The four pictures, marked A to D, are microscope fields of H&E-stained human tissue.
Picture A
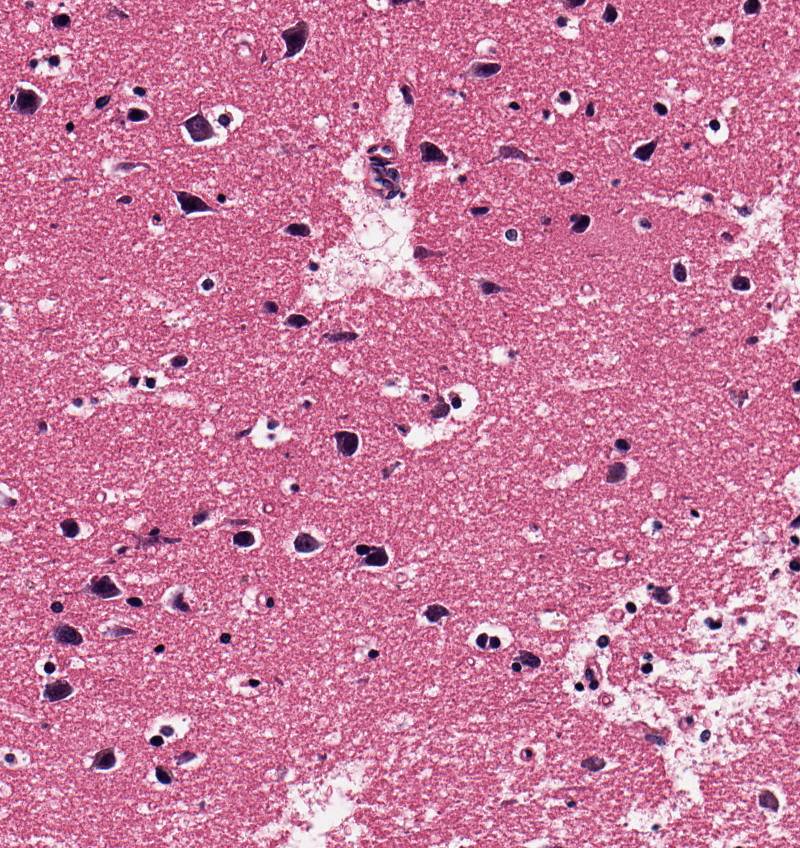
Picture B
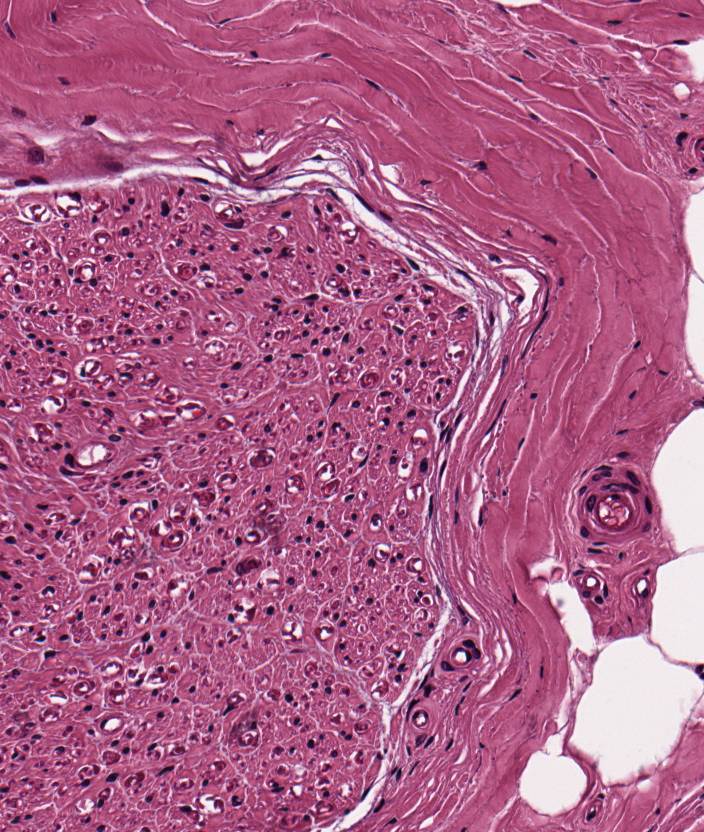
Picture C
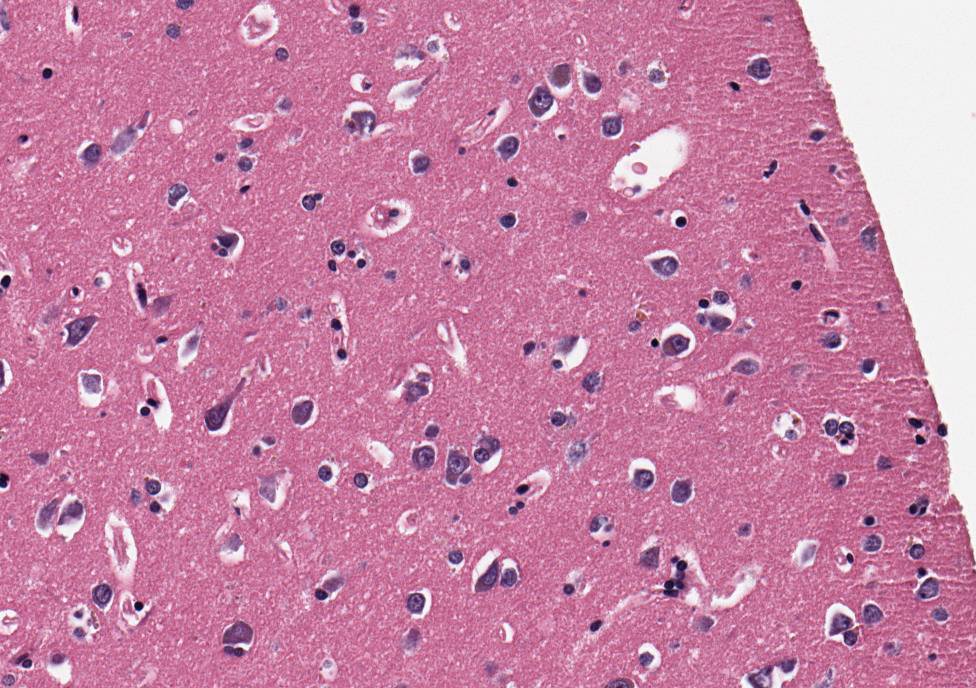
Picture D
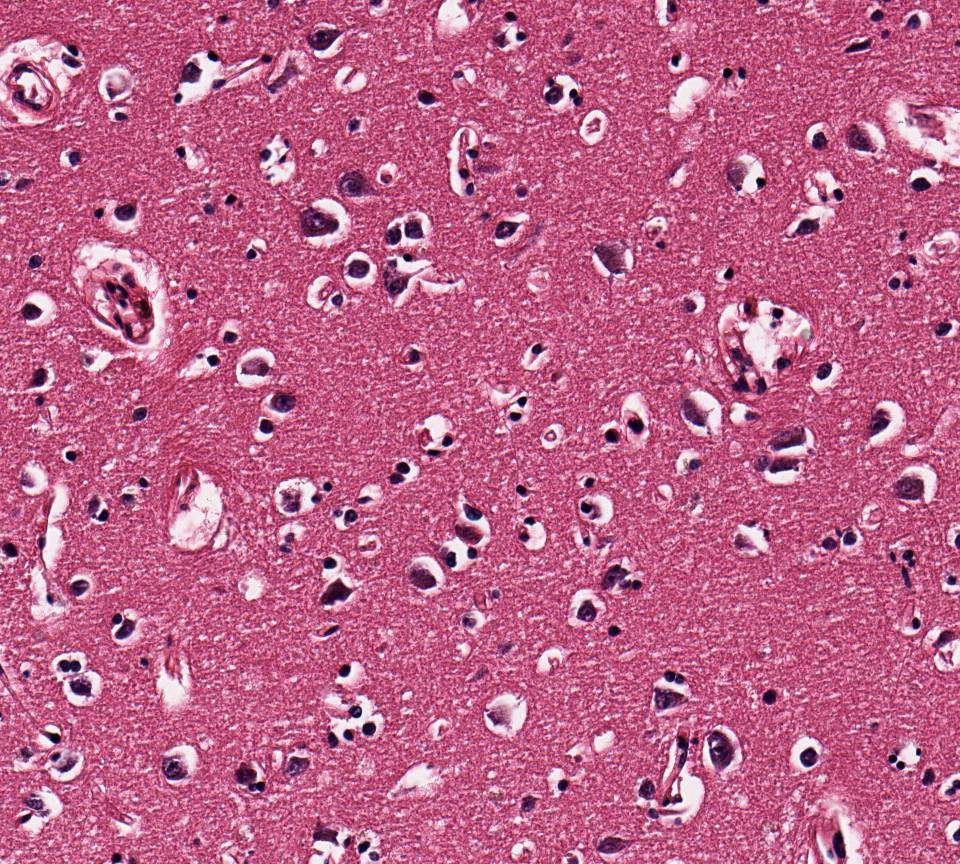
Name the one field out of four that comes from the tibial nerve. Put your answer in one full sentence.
Picture B is the field that comes from the tibial nerve.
